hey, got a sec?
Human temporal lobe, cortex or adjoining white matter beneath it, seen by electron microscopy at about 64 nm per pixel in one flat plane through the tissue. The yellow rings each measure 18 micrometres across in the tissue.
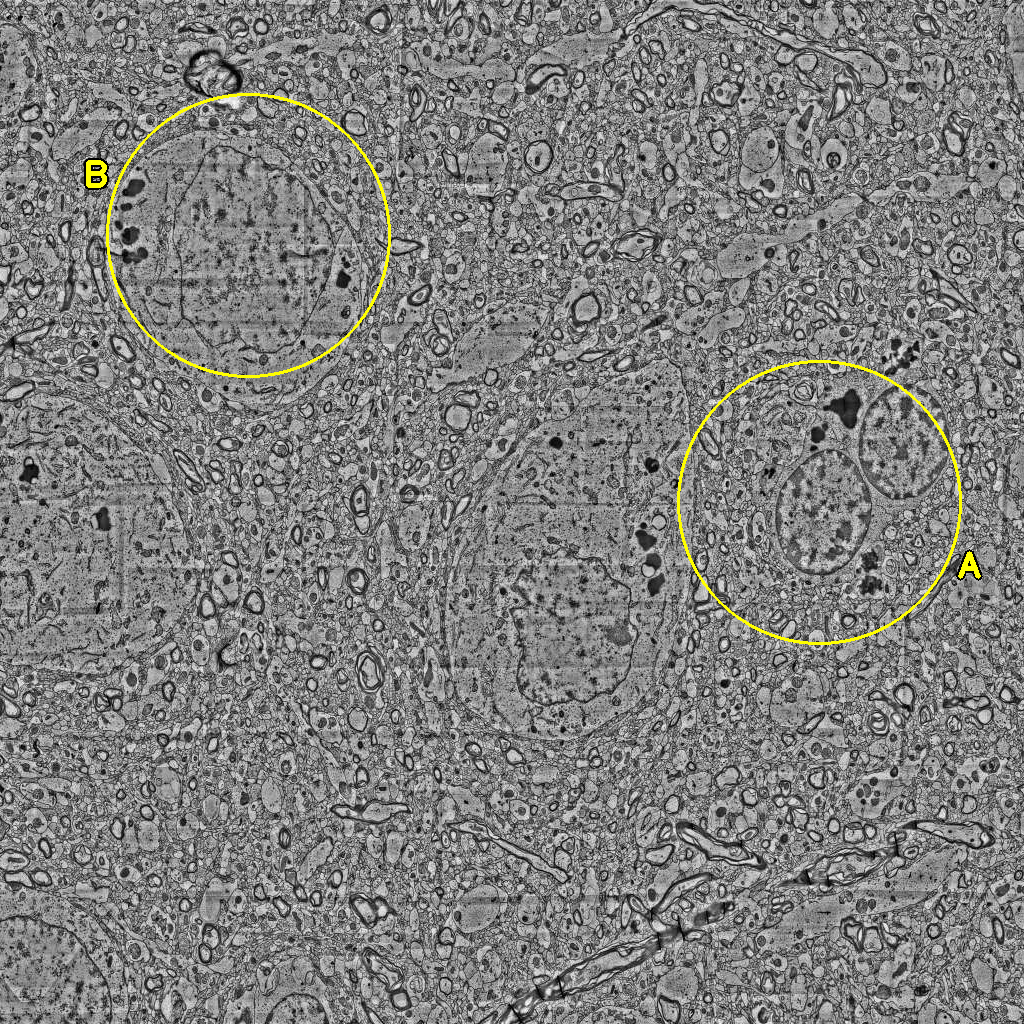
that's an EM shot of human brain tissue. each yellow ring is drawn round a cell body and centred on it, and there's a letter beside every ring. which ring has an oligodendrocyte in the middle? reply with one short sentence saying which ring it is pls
Ring A is the one centred on it.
